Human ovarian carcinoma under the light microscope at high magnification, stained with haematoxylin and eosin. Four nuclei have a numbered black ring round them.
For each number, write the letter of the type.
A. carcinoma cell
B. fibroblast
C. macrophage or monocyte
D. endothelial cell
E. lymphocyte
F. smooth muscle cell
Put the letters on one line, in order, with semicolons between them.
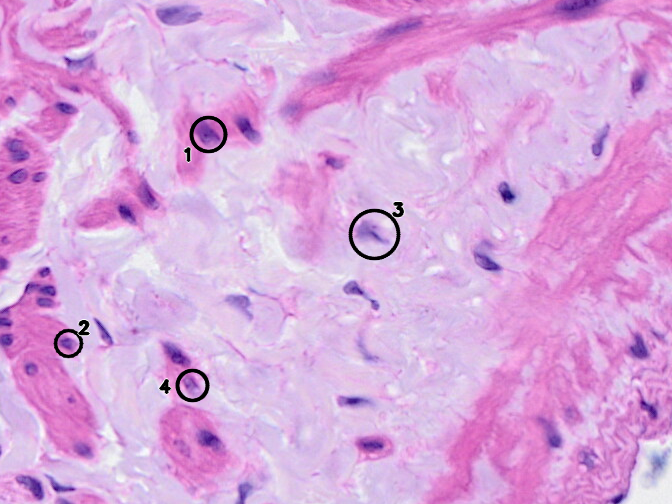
F; F; B; F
